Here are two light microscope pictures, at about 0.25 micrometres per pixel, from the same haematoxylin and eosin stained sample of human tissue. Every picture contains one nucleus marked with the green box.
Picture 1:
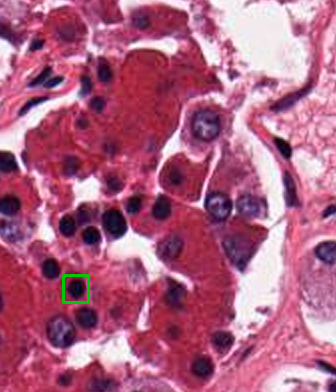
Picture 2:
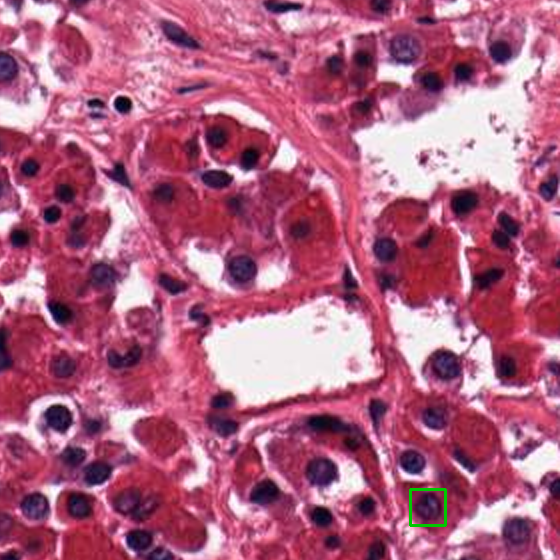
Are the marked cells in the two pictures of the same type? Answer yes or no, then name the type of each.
Yes, both are anterior pituitary cells.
